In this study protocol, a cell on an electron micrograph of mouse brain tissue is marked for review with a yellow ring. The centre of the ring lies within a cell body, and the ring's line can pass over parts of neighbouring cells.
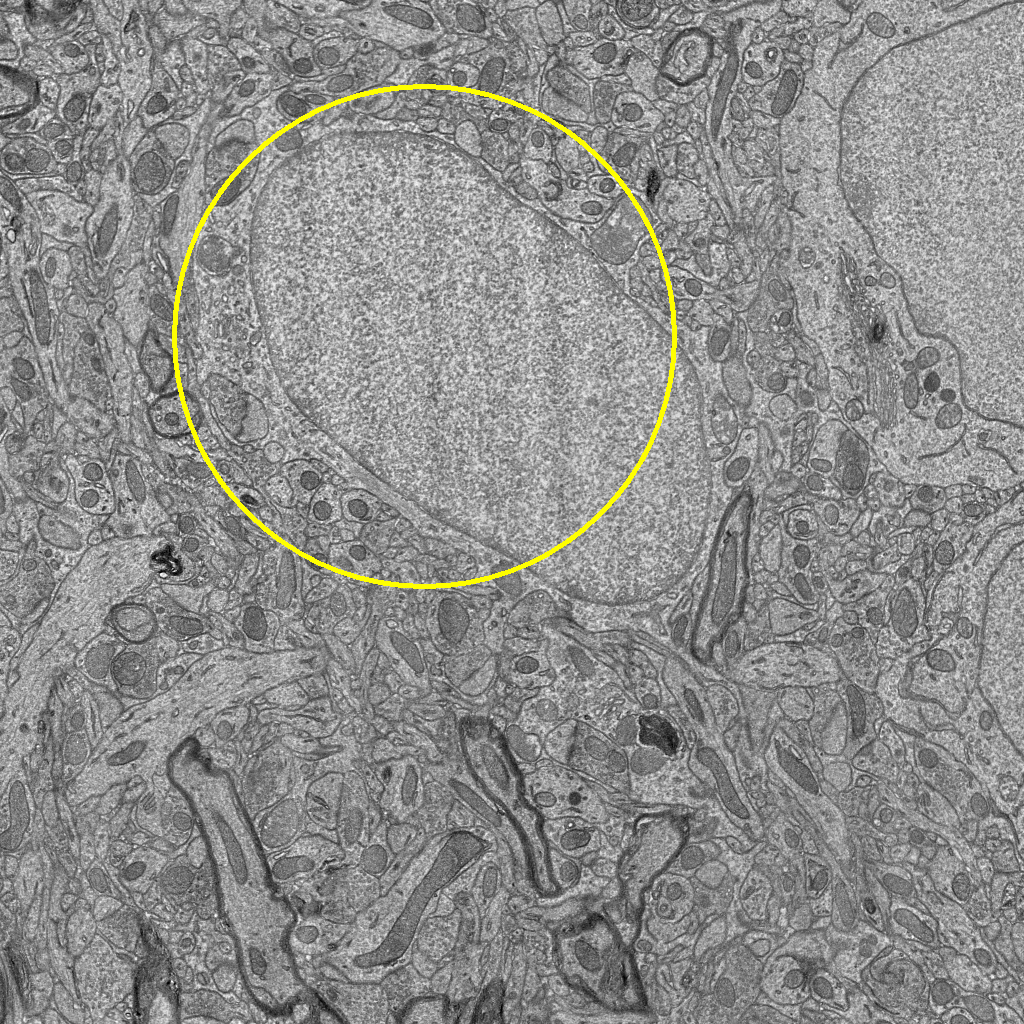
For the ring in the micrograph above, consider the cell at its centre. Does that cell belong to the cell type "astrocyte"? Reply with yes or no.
yes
